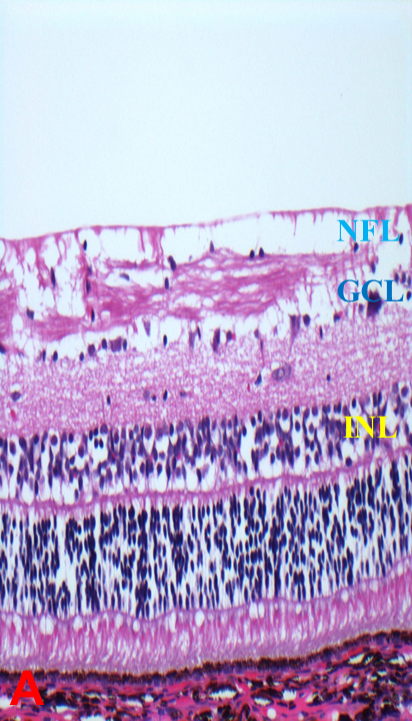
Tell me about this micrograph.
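A section through the full thickness of the retina shows stacked layers, from pink fibrous inner layers at the top through a pale finely granular band to two bands of dark purple nuclei, with pink outer layers, a thin dark brown pigmented line and pink-red tissue at the bottom. The innermost layers hold scattered purple nuclei among wavy pink fibres and many clear, rounded empty spaces. The upper nuclear band is loosely packed with clear gaps between its nuclei, while the lower nuclear band is thicker and more densely packed.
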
